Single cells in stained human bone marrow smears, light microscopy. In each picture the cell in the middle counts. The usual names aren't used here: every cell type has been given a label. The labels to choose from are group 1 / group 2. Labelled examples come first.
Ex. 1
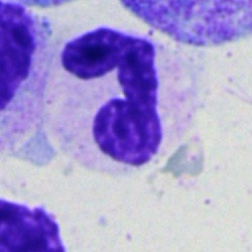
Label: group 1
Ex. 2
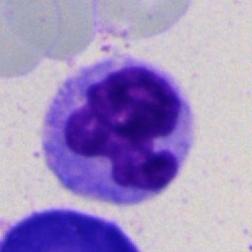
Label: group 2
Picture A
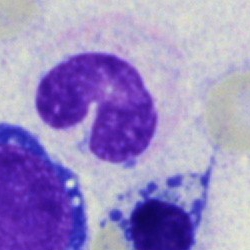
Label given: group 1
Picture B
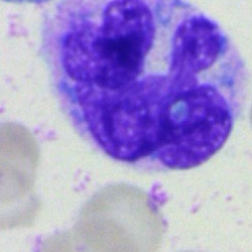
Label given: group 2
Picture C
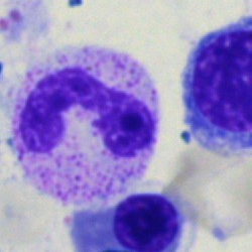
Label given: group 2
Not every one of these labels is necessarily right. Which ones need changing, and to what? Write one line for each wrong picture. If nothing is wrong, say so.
C should be group 1, not group 2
